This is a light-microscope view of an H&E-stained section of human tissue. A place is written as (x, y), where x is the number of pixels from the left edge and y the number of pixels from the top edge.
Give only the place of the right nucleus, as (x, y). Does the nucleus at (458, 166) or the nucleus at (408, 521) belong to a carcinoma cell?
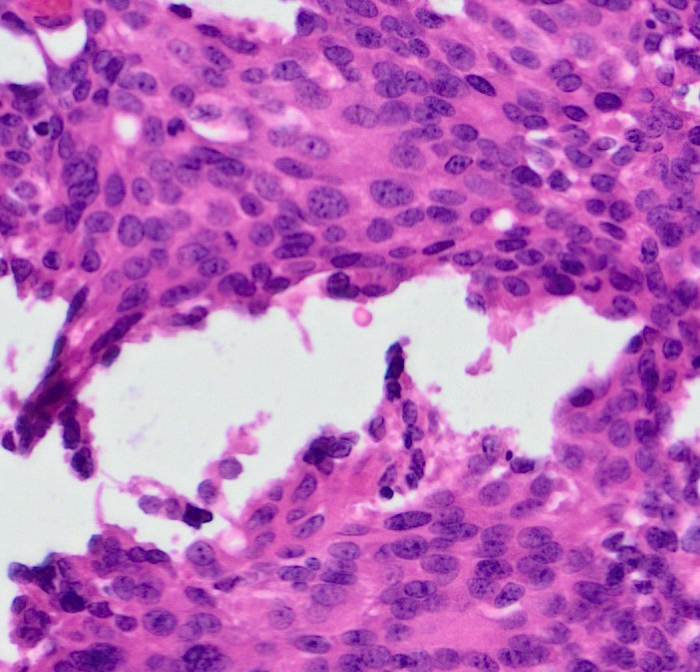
(408, 521)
